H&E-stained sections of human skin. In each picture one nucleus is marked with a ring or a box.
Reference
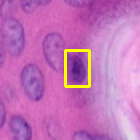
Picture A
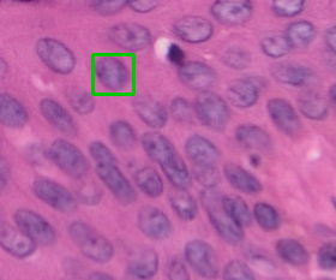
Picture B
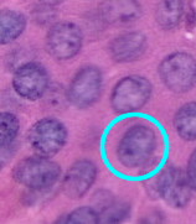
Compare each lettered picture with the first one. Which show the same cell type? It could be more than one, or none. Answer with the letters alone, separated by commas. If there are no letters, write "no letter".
A, B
